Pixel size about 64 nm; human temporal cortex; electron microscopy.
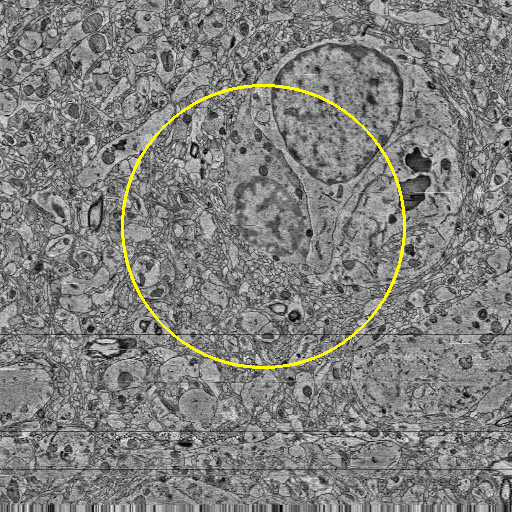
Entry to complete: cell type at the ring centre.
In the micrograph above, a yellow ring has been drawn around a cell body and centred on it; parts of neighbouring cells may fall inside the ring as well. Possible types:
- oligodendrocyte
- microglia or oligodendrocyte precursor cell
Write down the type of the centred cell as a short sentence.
The ring is centred on an oligodendrocyte.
